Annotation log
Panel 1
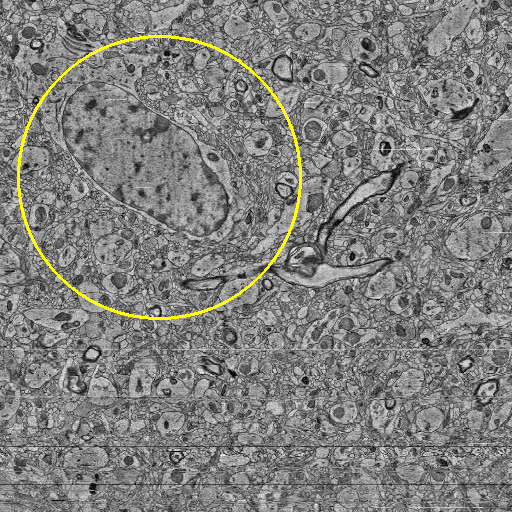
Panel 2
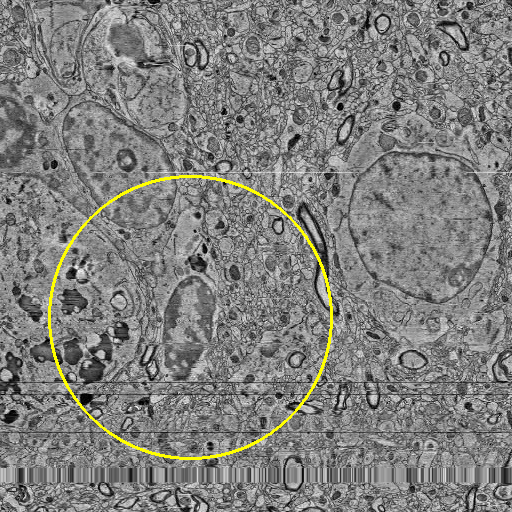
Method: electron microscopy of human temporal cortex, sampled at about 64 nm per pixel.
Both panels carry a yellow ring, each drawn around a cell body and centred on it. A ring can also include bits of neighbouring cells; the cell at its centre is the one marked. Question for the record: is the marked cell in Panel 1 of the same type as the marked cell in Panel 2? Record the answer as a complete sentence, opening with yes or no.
Yes, the marked cells in Panel 1 and Panel 2 are of the same type.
